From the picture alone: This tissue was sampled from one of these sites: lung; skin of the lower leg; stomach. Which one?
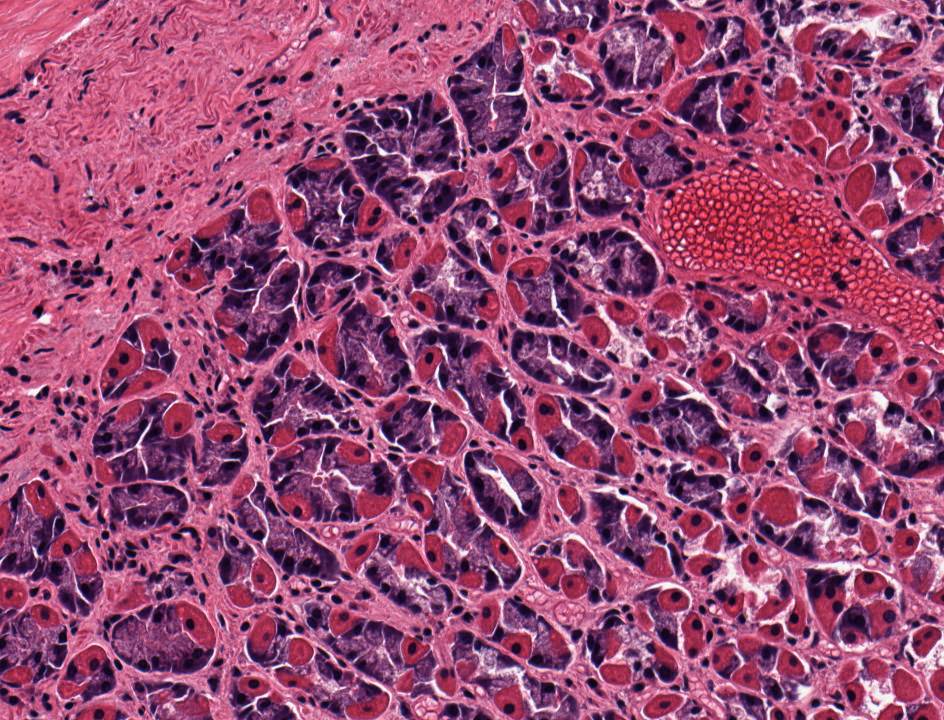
stomach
